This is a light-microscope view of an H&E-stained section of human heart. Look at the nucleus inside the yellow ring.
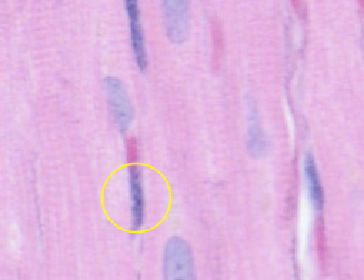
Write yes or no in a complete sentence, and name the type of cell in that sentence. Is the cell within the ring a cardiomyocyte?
No, it is an endothelial cell rather than a cardiomyocyte that the cell within the ring is.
